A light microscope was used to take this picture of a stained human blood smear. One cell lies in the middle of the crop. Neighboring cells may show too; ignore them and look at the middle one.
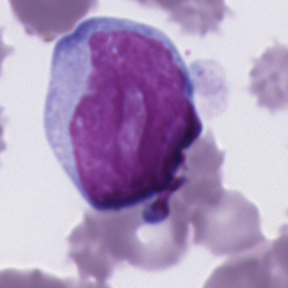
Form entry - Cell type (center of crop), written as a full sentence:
The central cell, amid any neighbouring cells, is a myeloblast.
